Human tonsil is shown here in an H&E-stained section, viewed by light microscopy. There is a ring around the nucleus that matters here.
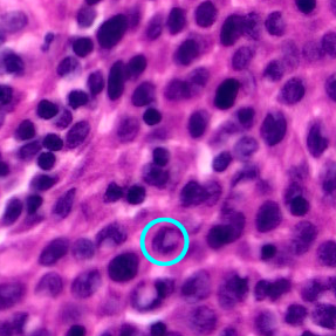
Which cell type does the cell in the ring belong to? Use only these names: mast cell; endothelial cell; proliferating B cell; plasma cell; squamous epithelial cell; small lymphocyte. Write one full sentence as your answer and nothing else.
As for its identity, the cell in the ring is a squamous epithelial cell.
